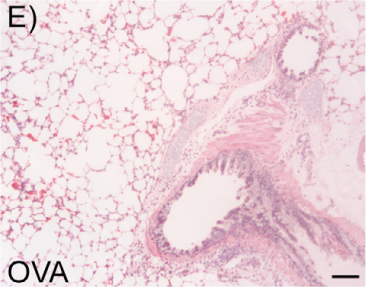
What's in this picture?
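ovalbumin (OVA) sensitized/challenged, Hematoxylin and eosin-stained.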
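Airways in lung tissue are surrounded by a broad band of pink fibrous and muscular tissue and by clusters of densely purple-staining cells, while the surrounding alveoli form a fine open mesh. The thickened wall and cellular crowding around the airway point to airway inflammation and smooth muscle hypertrophy.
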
